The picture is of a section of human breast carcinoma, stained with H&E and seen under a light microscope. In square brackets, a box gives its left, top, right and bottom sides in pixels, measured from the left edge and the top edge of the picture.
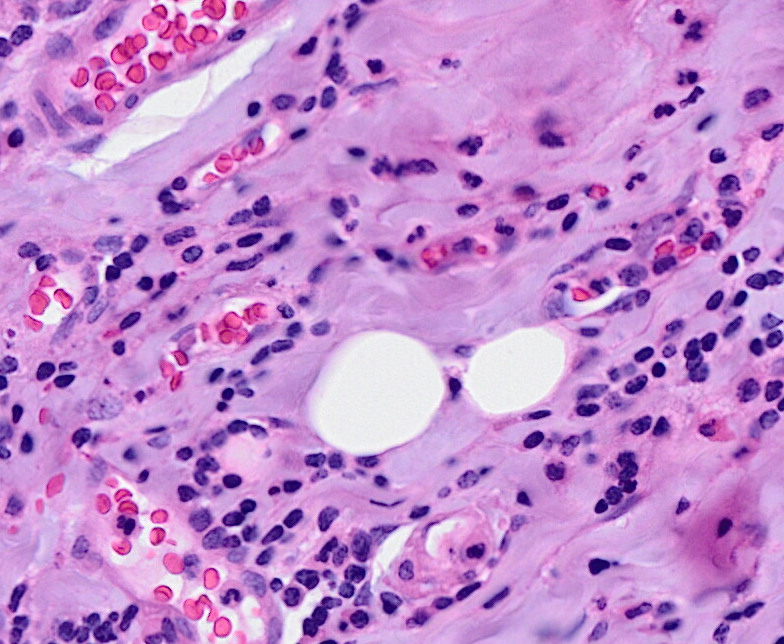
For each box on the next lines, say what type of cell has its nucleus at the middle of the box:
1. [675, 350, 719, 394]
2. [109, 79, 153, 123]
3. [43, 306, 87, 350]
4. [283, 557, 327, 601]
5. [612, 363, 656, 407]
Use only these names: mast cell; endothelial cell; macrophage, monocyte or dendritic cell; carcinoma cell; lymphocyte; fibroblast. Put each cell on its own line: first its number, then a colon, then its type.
1: lymphocyte
2: endothelial cell
3: endothelial cell
4: lymphocyte
5: lymphocyte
